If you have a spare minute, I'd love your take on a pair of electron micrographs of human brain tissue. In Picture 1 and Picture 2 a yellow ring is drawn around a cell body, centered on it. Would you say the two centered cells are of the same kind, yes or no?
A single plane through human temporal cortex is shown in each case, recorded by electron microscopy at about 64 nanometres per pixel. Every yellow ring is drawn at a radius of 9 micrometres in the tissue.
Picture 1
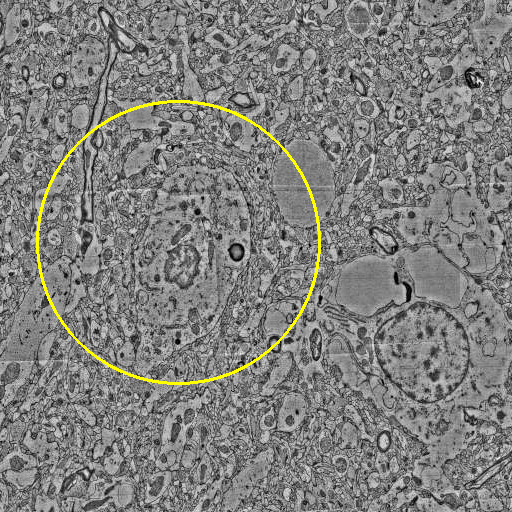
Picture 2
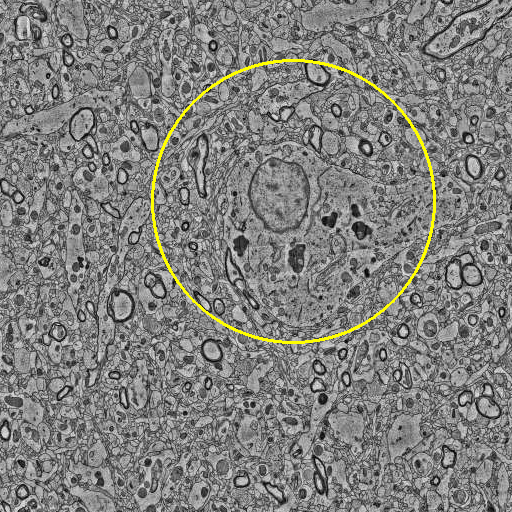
yes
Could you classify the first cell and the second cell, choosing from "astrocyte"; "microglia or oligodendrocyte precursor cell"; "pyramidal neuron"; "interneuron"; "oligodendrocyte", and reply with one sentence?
Both cells are the same kind, each one being a pyramidal neuron.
